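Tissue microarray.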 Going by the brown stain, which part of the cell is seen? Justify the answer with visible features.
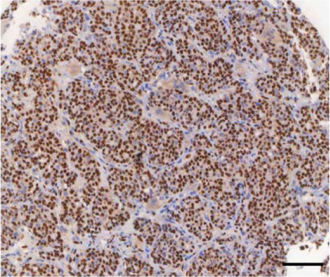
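The brown stain sits in round bodies within the cells. The cytoplasm around them is much paler.
Nuclear.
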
